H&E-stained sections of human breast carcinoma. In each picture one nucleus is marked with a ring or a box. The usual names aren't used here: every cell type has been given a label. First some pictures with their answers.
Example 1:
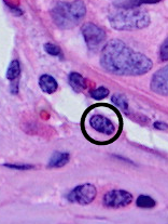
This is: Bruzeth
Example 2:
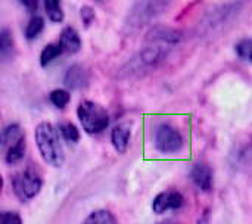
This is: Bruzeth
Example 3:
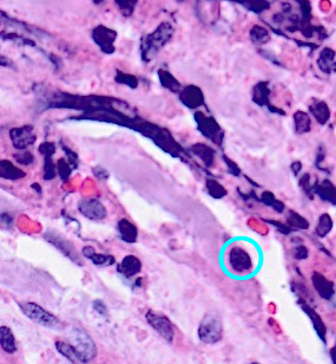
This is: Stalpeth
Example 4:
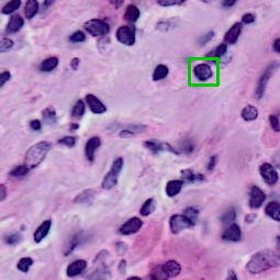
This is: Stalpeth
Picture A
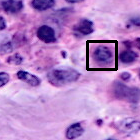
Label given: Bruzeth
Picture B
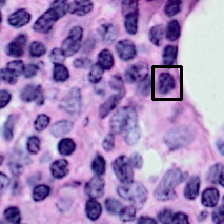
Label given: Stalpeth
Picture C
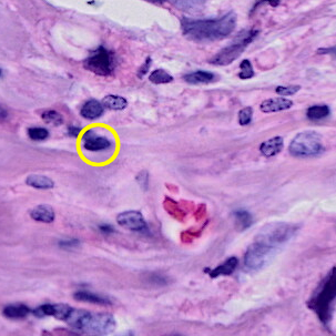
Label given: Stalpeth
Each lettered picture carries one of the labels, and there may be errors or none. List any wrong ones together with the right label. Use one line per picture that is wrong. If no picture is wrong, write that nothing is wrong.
None of the labels needs changing.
